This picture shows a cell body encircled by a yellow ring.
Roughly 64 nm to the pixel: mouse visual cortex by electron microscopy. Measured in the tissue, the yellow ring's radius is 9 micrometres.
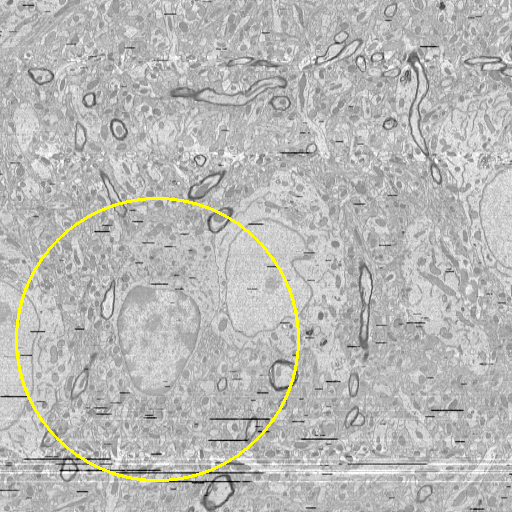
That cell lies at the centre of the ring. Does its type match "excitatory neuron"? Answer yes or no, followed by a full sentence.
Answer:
No, in the picture, the ring surrounds a cell of another type at its centre.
